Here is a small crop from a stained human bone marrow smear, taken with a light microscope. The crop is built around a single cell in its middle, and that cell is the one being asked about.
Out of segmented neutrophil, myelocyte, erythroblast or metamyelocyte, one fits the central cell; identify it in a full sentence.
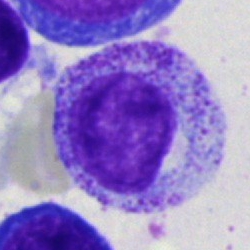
This particular crop is centered on a myelocyte.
